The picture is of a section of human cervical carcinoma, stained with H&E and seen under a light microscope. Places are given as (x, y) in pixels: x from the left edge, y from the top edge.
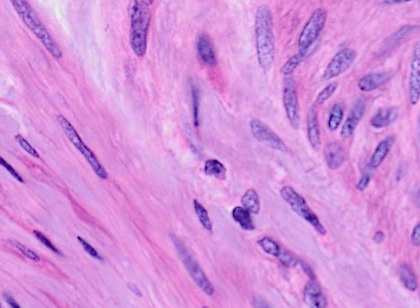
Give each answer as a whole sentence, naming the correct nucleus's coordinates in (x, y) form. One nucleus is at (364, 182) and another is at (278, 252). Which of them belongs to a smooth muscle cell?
The nucleus belonging to a smooth muscle cell is the one at (364, 182).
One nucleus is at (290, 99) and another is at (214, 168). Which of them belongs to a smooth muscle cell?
It is the nucleus at (290, 99) that forms part of a smooth muscle cell.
